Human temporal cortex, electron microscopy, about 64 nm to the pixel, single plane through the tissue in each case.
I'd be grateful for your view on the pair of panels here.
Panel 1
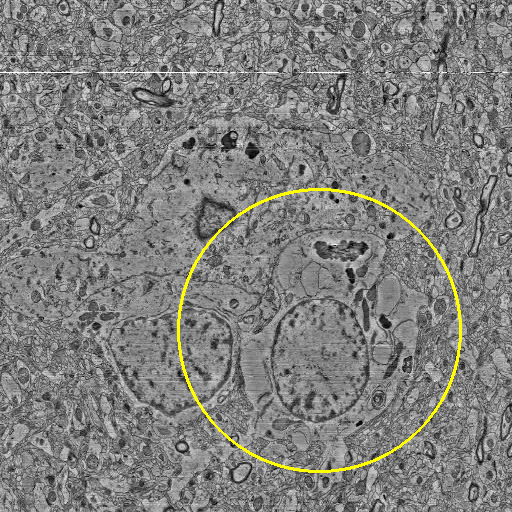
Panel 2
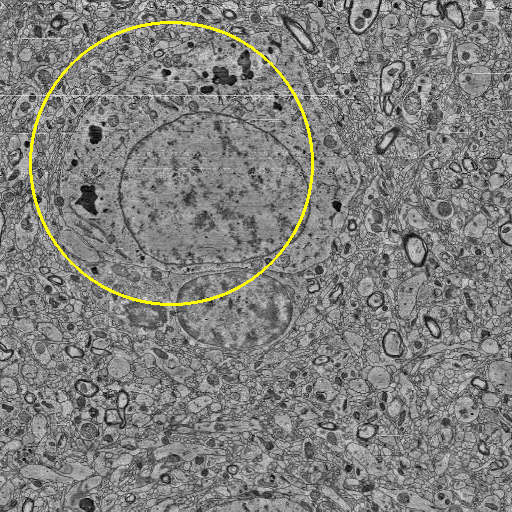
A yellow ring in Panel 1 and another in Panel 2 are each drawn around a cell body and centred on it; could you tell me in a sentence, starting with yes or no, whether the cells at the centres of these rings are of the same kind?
No, they are two kinds of cell.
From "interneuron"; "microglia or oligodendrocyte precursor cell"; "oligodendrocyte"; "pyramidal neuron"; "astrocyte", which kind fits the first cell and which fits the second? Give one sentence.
The cell marked in the first picture is an astrocyte, and the one marked in the second is a pyramidal neuron.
